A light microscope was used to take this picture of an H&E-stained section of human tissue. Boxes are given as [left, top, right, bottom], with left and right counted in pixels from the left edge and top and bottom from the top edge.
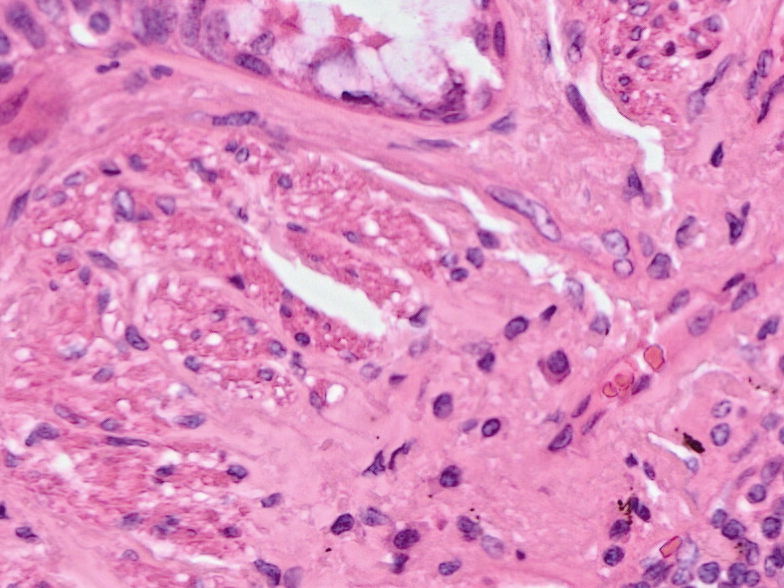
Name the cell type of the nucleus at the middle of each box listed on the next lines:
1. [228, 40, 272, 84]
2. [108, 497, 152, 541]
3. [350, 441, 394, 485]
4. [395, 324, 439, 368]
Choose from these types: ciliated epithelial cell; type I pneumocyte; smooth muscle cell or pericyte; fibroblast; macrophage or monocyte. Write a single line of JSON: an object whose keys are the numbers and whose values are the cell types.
{"1": "ciliated epithelial cell", "2": "smooth muscle cell or pericyte", "3": "fibroblast", "4": "fibroblast"}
